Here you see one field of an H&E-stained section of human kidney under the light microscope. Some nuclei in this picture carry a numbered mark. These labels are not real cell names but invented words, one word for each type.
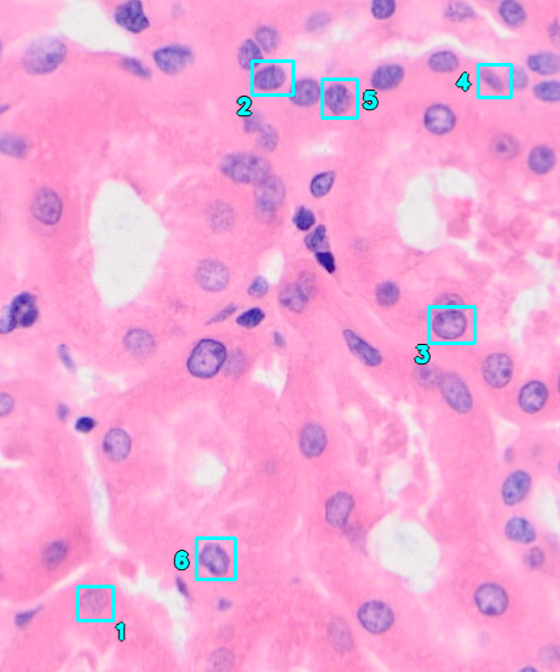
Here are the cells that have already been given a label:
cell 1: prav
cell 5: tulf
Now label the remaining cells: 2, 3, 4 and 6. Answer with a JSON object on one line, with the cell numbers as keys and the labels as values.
{"2": "tulf", "3": "prav", "4": "tulf", "6": "prav"}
